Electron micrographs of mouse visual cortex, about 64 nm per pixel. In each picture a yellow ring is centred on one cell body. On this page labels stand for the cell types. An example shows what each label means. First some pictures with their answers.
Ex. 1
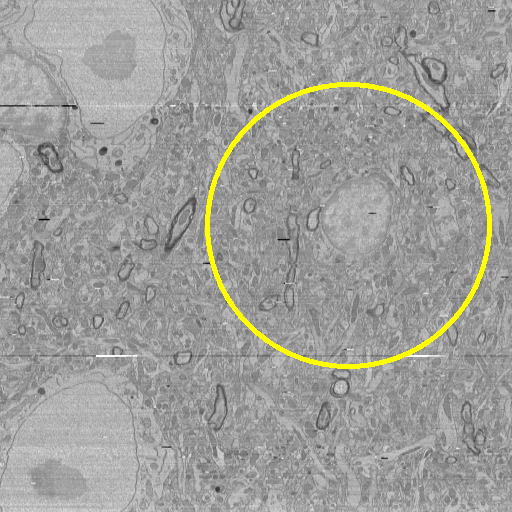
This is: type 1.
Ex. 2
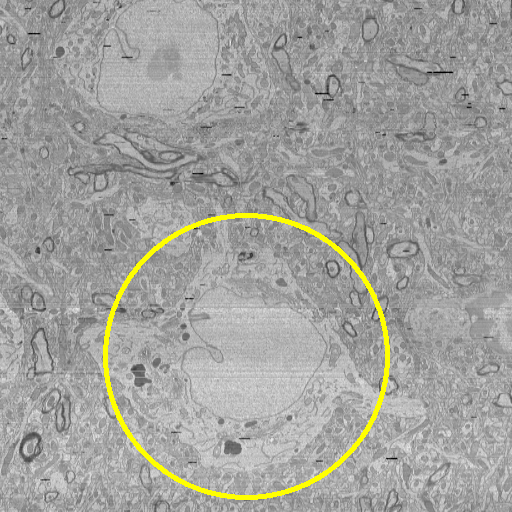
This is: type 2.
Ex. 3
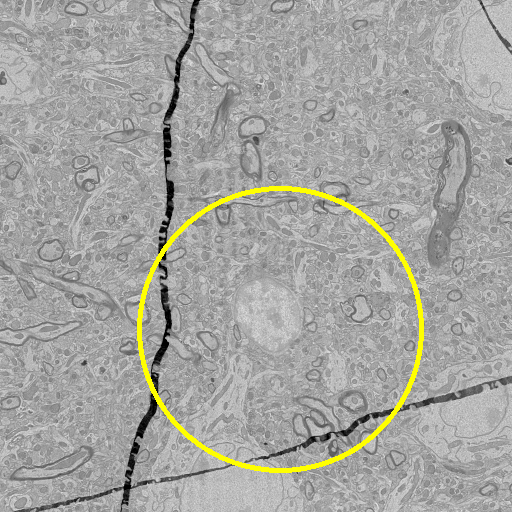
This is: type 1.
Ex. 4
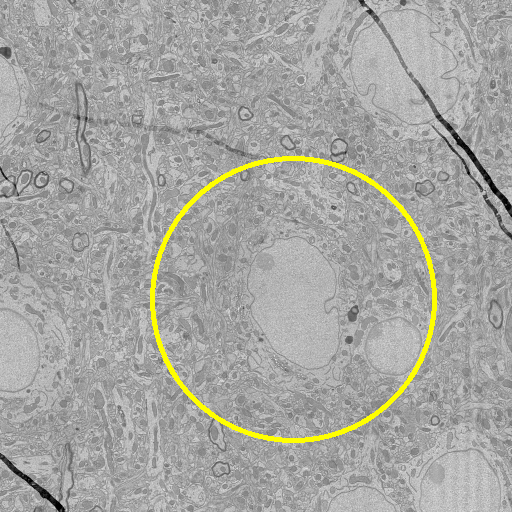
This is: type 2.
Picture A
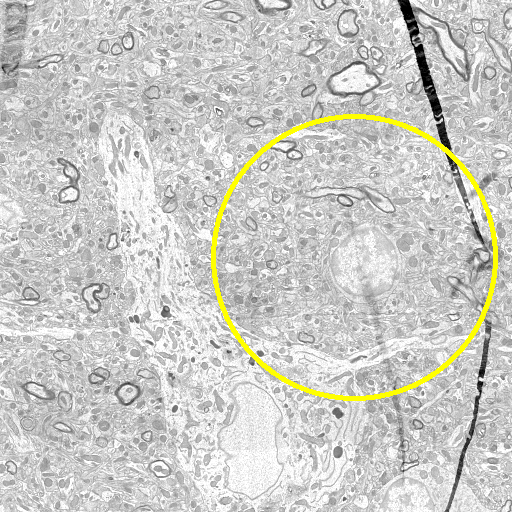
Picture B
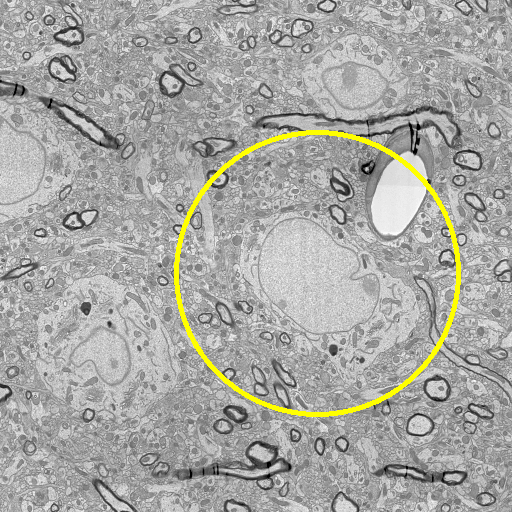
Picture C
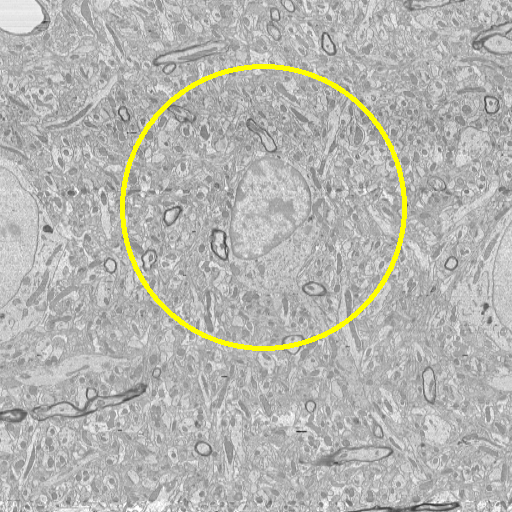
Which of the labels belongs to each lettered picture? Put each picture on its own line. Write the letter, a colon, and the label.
A: type 1.
B: type 2.
C: type 1.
